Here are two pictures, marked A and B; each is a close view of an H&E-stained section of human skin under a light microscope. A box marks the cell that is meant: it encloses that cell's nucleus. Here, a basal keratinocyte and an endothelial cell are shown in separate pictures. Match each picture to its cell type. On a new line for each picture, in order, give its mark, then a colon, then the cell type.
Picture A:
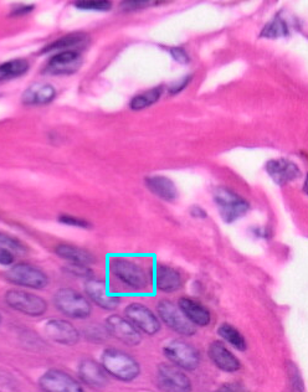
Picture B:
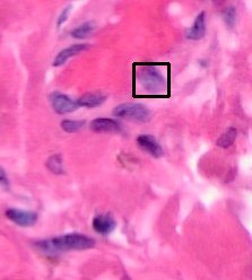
A: basal keratinocyte
B: endothelial cell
